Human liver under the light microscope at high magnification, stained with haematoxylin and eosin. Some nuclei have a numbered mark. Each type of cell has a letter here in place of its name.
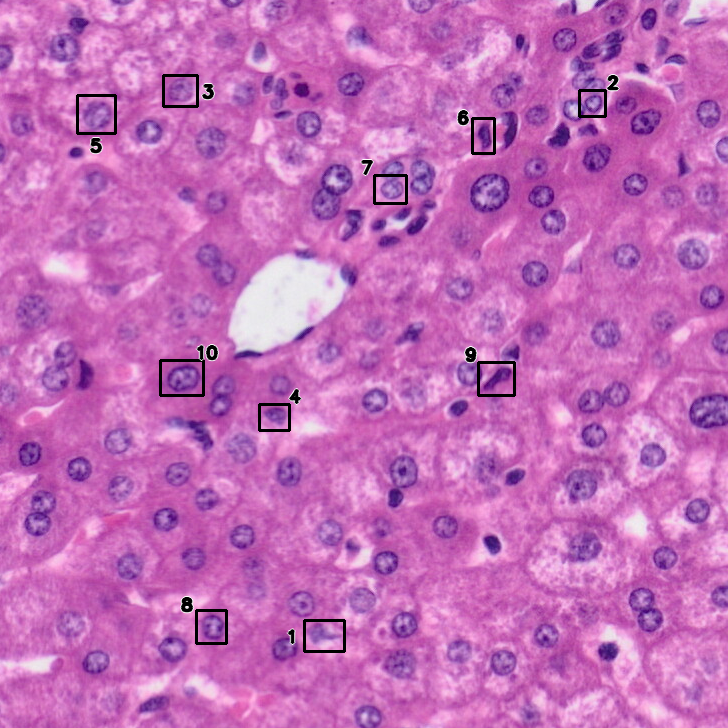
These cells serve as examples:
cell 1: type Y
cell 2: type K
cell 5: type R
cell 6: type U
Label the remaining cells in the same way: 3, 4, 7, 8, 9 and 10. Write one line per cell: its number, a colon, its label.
3: type R
4: type U
7: type K
8: type R
9: type U
10: type R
